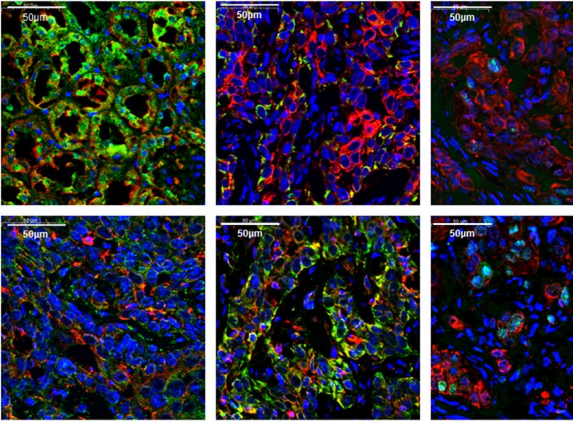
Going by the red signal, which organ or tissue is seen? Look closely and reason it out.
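Epithelium. Red signal outlines the borders of tightly packed cells in clusters and gland-like rings. Cells between the red-outlined clusters have blue nuclei but no red outline.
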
